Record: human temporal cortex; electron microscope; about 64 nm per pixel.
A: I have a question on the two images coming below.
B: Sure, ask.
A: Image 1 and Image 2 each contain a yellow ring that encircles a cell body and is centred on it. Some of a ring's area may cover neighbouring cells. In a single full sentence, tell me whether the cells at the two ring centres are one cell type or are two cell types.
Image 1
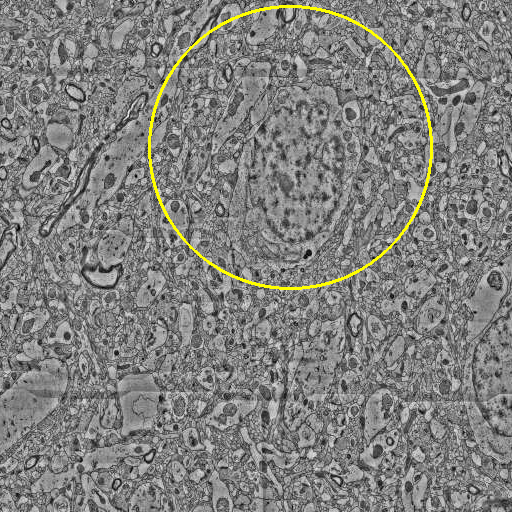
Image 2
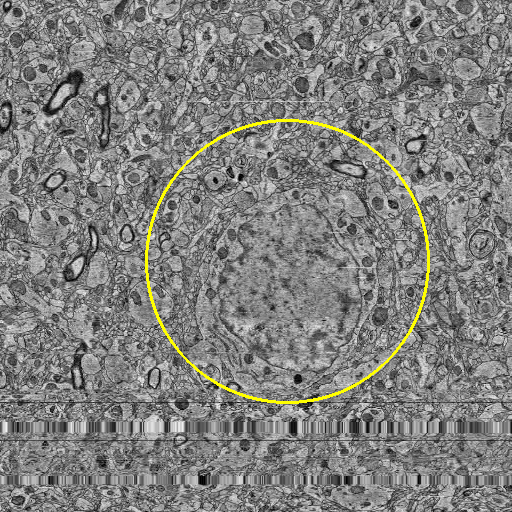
As for the ring-centre cells, the one in Image 1 and the one in Image 2 are one cell type.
